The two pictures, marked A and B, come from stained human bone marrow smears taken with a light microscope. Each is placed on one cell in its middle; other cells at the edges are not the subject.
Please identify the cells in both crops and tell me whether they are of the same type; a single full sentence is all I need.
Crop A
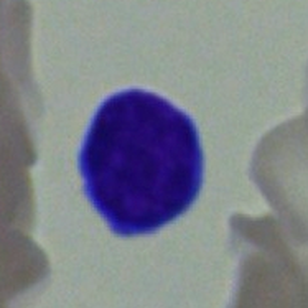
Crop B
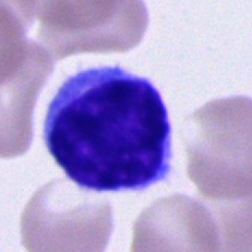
Yes, both crops have lymphocytes as their central cells.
